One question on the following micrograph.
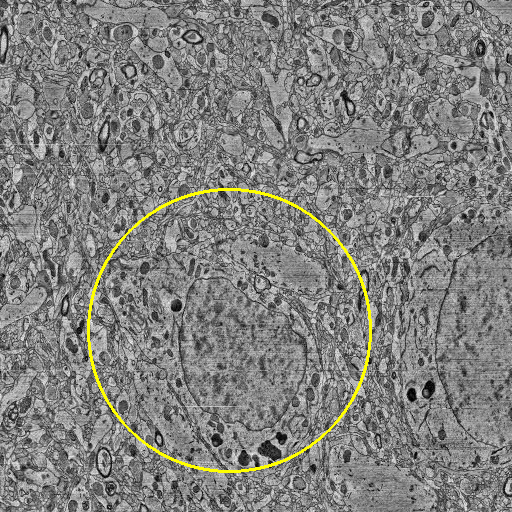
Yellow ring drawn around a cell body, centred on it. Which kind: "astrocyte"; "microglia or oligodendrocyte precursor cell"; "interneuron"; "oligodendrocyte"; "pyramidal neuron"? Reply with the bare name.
interneuron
